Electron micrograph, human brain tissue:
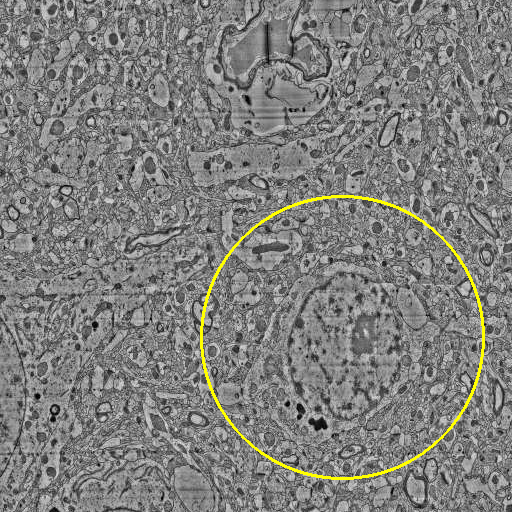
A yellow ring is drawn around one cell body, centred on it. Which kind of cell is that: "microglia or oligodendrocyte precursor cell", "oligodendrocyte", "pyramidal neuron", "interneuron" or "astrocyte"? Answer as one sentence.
It is an interneuron at the centre of the ring.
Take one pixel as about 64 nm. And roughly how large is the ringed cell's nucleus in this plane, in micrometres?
The nucleus appears roughly 9 by 8 micrometres in this plane.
